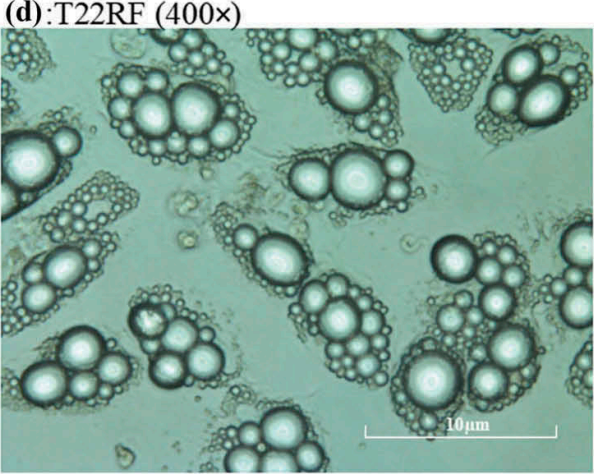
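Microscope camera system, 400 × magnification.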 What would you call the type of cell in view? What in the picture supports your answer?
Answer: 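Cells hold clusters of round, refractile droplets of varying size. Some droplets are large and dark-rimmed, crowding the cell. Small droplets ring the larger ones within each cell. That points to this answer: adipocytes.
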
